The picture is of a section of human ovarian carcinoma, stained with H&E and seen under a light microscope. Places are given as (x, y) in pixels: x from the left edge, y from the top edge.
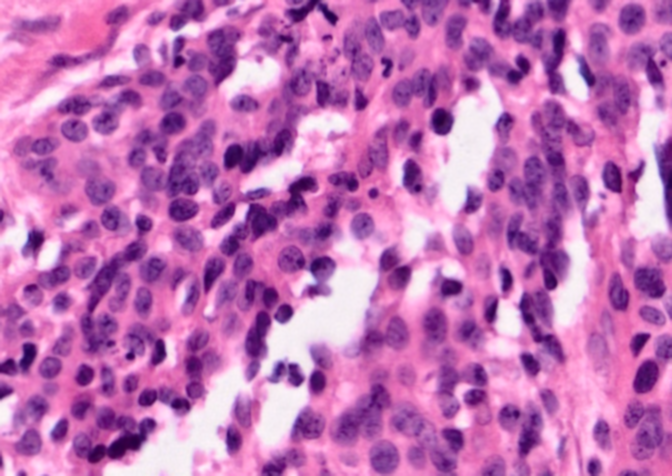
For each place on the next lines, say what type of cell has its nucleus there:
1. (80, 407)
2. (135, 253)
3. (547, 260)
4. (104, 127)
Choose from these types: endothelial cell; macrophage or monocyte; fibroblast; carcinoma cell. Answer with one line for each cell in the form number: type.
1: carcinoma cell
2: carcinoma cell
3: carcinoma cell
4: macrophage or monocyte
